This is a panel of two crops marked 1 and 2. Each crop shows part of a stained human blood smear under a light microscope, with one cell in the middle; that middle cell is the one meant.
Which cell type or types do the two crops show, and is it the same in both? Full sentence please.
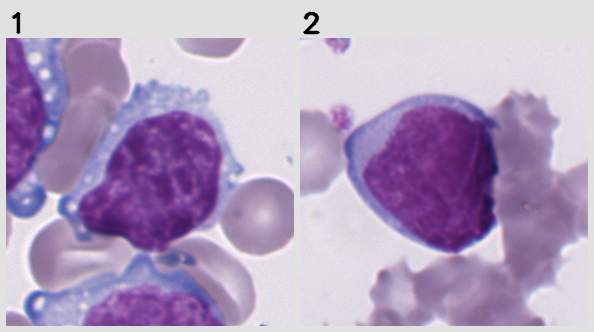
Yes, the two cells in the two crops are blasts.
